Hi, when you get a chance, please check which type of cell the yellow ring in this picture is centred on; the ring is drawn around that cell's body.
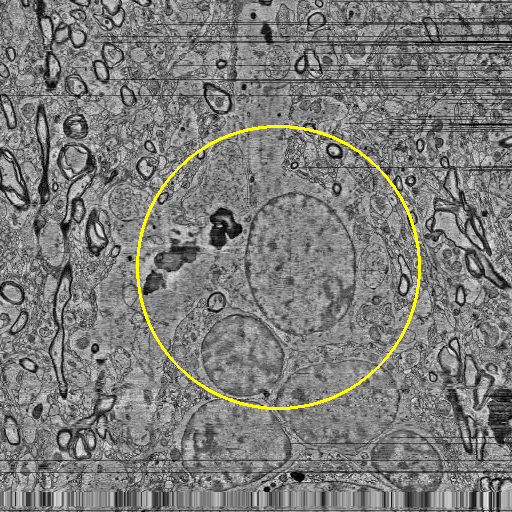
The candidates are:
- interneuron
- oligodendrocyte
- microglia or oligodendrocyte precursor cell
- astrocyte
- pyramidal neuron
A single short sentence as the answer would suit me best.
The ring is drawn around the body of an astrocyte.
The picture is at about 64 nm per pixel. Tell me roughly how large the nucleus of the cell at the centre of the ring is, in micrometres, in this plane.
In this plane, the nucleus is roughly 9 by 7 micrometres.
